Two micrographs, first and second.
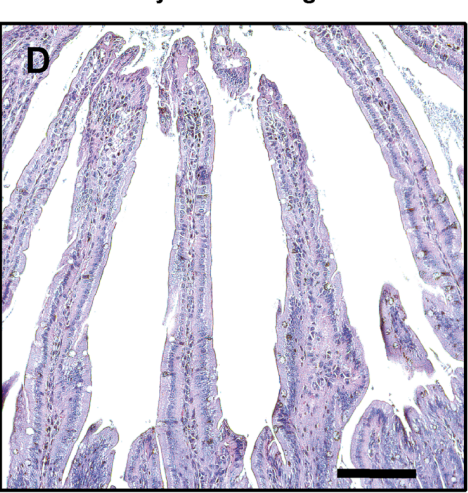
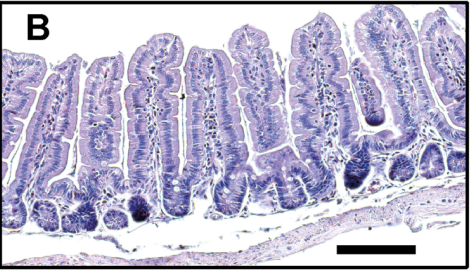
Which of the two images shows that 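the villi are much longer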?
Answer: the first image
